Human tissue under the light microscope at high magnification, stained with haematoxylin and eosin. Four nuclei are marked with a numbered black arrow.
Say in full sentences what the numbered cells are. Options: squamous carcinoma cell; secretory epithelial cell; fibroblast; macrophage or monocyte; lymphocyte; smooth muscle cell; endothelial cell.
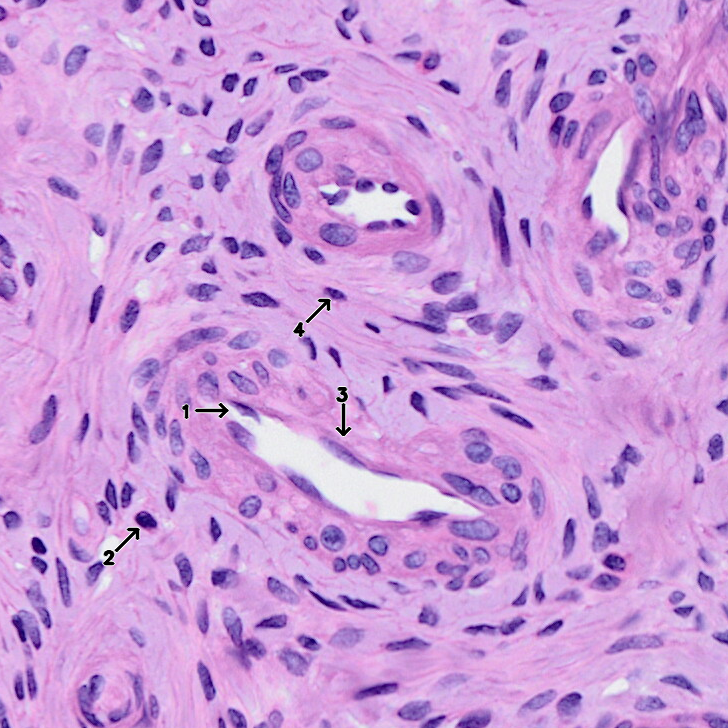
Cells 1 and 3 are endothelial cells. Cell 2 is a lymphocyte. Cell 4 is a fibroblast.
